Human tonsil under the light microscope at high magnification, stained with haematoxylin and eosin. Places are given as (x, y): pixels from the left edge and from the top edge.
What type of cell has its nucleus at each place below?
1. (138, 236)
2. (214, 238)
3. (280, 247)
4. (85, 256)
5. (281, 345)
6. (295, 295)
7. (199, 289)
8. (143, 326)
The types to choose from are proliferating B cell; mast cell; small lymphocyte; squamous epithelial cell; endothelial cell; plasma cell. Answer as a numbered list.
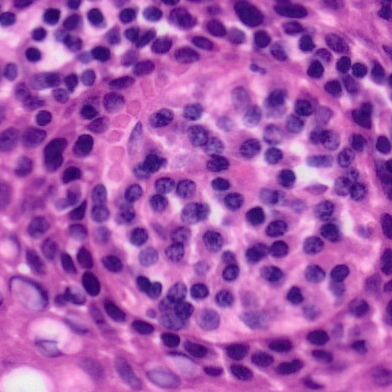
1. plasma cell
2. plasma cell
3. plasma cell
4. squamous epithelial cell
5. squamous epithelial cell
6. plasma cell
7. plasma cell
8. squamous epithelial cell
